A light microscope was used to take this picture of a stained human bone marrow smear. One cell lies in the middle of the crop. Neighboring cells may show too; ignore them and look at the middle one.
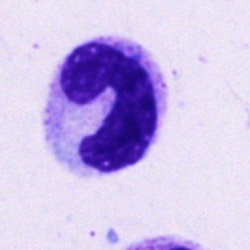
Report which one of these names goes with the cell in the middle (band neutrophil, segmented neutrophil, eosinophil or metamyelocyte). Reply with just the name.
band neutrophil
